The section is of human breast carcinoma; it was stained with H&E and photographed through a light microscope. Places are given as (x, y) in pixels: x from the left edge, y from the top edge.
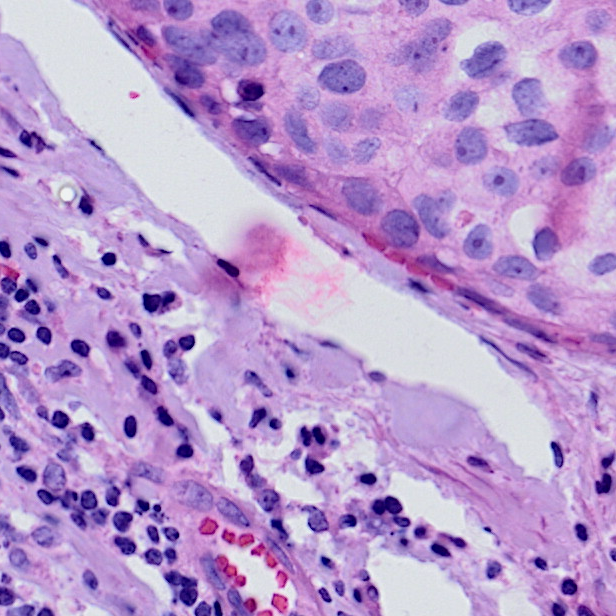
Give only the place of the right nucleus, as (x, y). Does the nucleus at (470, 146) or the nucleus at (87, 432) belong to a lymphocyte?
(87, 432)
